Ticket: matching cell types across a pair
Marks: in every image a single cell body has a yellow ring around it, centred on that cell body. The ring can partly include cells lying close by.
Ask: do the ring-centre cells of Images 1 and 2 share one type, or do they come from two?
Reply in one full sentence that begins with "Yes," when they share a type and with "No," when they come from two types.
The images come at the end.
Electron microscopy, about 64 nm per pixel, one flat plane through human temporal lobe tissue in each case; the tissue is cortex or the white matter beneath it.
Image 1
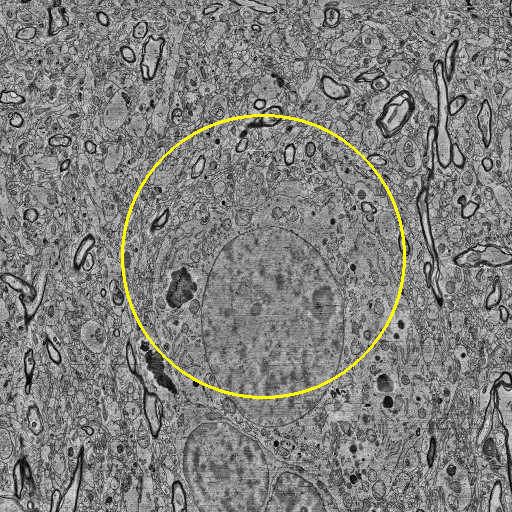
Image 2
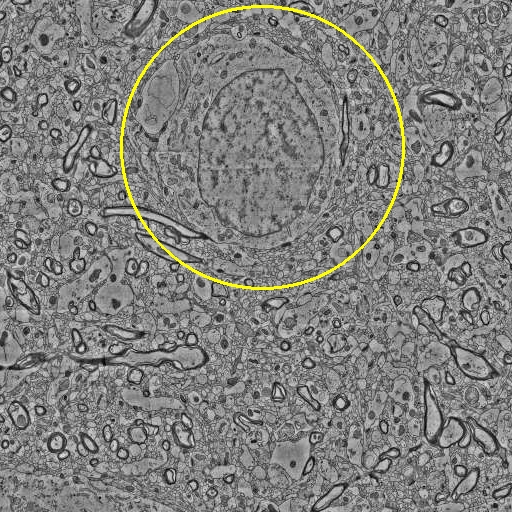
Yes, the cells in the centres of the rings in Image 1 and Image 2 share one type.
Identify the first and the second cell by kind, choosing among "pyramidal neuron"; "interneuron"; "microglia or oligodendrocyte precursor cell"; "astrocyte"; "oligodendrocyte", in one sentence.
Each of the two rings surrounds an interneuron.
